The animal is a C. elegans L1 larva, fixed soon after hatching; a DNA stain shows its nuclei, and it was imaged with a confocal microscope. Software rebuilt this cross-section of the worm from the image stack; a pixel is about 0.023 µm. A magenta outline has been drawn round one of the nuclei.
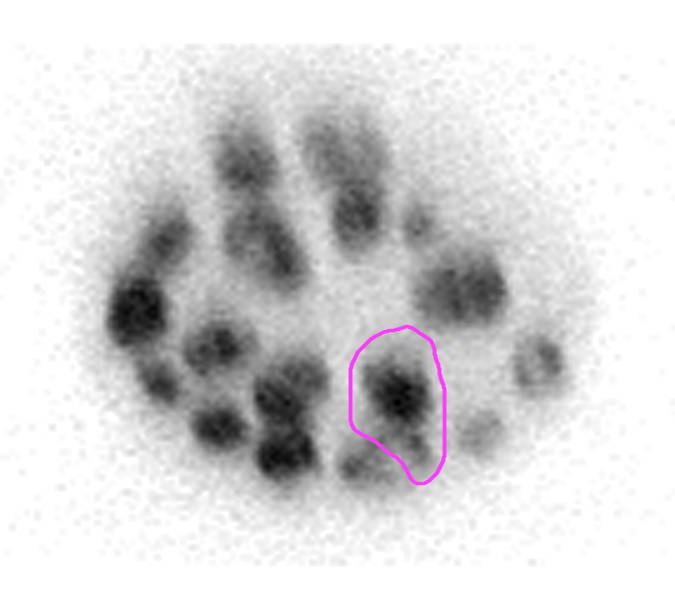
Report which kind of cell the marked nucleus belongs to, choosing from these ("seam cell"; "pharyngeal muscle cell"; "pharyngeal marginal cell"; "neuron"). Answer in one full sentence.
What is marked is the nucleus of a pharyngeal marginal cell.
